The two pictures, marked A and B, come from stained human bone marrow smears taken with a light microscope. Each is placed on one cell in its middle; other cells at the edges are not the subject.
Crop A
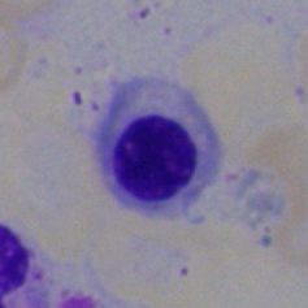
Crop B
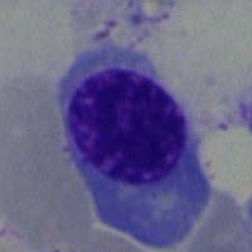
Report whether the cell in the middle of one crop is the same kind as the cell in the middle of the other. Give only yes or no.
yes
